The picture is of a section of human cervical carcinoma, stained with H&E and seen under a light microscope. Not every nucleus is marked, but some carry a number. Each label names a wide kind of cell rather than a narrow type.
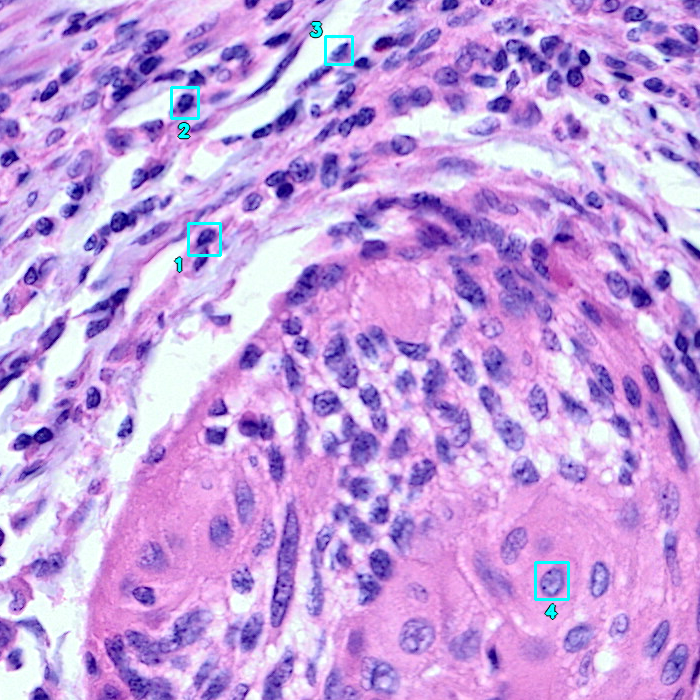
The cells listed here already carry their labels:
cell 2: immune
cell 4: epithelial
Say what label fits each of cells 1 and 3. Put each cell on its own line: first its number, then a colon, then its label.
1: immune
3: immune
